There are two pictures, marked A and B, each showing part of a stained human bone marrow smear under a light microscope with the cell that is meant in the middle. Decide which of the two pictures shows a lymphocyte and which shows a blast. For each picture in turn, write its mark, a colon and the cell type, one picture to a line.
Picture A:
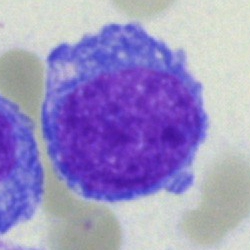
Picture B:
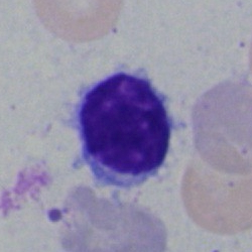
A: blast
B: lymphocyte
